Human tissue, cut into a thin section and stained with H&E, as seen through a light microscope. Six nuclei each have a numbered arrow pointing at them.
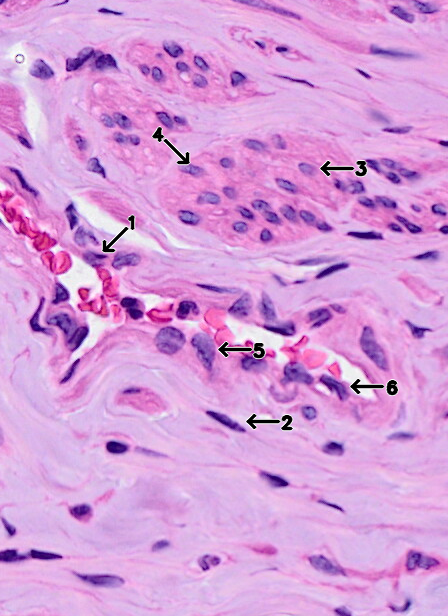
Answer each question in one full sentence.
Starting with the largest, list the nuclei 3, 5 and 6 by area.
Largest first, the order by area is 5, 6, 3.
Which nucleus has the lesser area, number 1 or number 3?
Number 3 is smaller, since number 1 takes up about 1.5 times as much area.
